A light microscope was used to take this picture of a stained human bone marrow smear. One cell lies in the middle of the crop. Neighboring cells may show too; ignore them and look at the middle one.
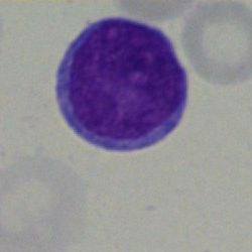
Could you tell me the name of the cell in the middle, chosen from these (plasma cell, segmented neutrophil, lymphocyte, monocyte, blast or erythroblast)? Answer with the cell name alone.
blast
